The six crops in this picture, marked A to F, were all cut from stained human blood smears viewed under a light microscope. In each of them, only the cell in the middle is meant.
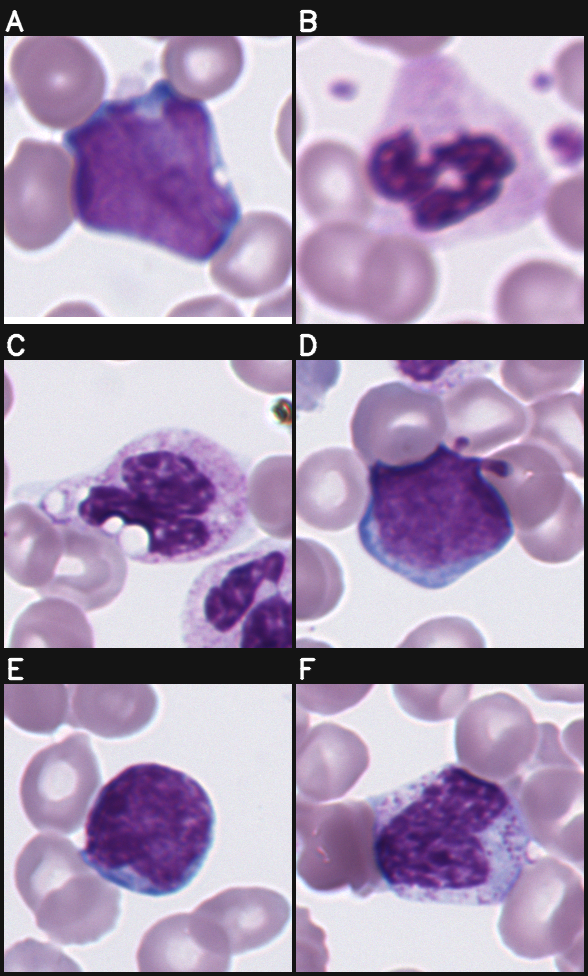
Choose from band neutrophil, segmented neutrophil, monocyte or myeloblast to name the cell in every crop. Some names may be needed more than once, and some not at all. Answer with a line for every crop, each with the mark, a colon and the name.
A: myeloblast
B: segmented neutrophil
C: segmented neutrophil
D: myeloblast
E: myeloblast
F: band neutrophil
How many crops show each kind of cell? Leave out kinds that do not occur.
myeloblast: 3
segmented neutrophil: 2
band neutrophil: 1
